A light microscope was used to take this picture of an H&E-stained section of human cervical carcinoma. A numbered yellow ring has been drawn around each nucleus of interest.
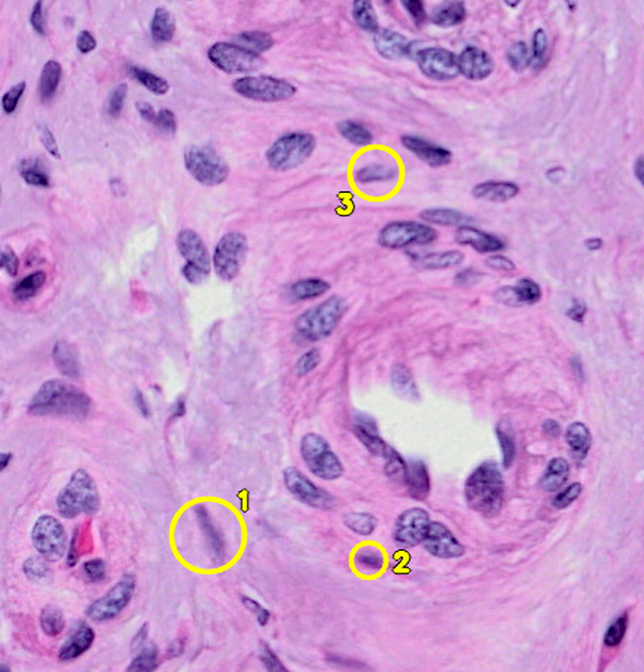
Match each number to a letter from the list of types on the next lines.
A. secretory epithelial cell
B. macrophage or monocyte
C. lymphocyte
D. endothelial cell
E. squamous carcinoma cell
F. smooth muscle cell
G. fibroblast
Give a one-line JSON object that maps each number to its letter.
{"1": "G", "2": "F", "3": "F"}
